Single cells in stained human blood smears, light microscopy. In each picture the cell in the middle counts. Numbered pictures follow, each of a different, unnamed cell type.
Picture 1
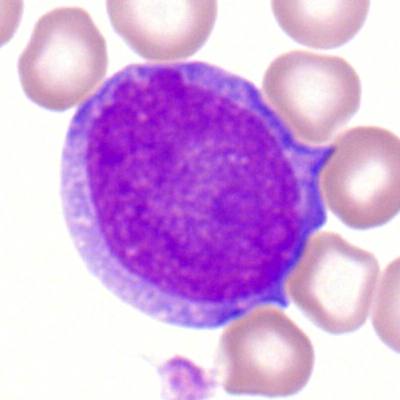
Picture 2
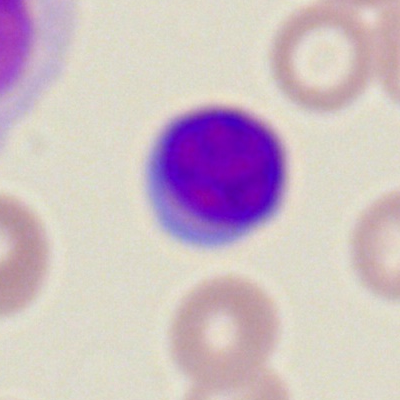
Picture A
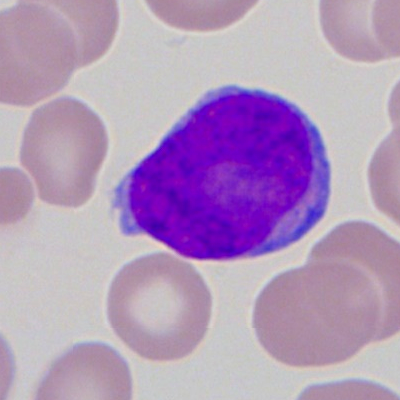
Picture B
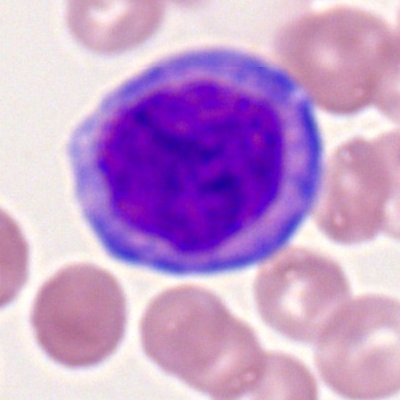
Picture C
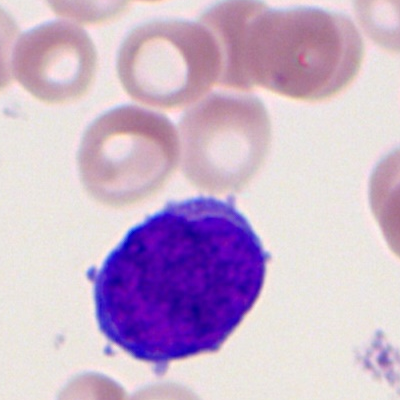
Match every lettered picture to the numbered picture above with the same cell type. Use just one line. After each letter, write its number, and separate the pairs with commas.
A 1, B 1, C 1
